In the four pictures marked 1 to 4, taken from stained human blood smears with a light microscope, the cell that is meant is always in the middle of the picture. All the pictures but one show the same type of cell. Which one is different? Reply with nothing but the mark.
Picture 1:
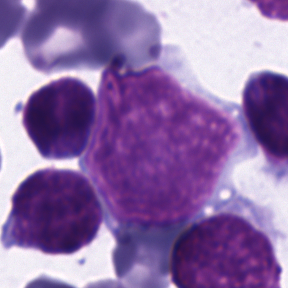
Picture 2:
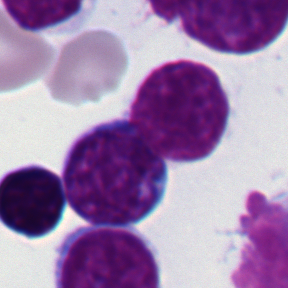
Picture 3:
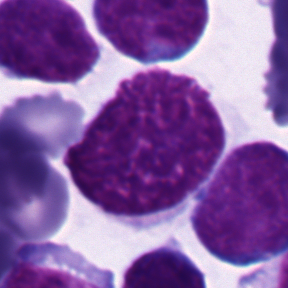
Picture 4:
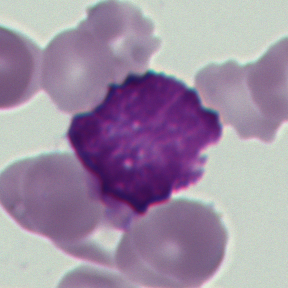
4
